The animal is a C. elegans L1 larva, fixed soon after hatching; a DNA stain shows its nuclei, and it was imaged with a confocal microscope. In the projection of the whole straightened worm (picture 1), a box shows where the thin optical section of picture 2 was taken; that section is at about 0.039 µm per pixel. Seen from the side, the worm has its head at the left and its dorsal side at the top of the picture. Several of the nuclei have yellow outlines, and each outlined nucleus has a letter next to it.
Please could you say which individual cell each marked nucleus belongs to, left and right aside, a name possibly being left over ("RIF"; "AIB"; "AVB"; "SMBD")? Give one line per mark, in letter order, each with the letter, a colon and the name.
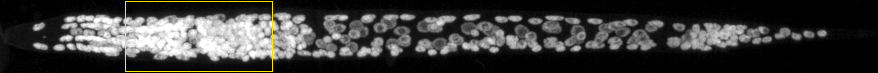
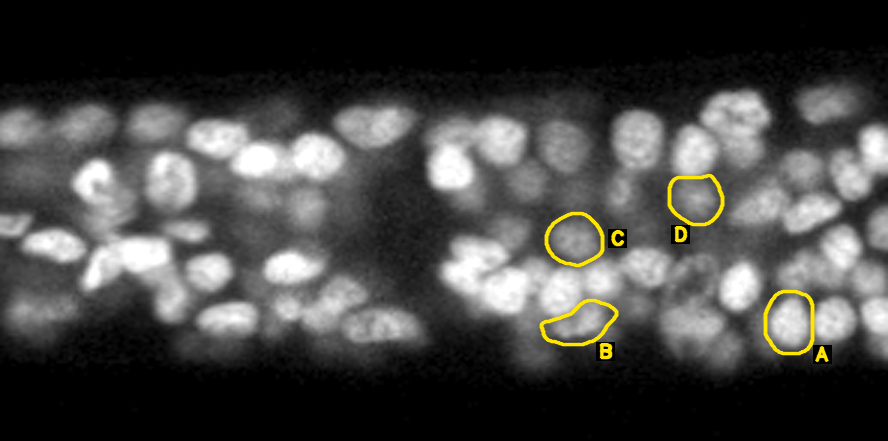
A: RIF
B: SMBD
C: AIB
D: AVB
